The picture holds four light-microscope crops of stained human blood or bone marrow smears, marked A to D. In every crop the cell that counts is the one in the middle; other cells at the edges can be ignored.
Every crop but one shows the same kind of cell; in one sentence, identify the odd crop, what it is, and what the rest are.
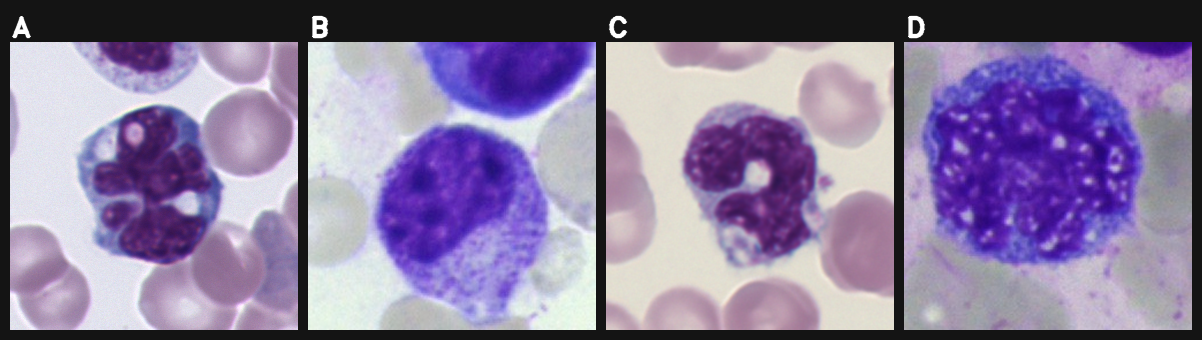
Crop B is the one to flag: it is a myelocyte, and the rest show monocytes.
